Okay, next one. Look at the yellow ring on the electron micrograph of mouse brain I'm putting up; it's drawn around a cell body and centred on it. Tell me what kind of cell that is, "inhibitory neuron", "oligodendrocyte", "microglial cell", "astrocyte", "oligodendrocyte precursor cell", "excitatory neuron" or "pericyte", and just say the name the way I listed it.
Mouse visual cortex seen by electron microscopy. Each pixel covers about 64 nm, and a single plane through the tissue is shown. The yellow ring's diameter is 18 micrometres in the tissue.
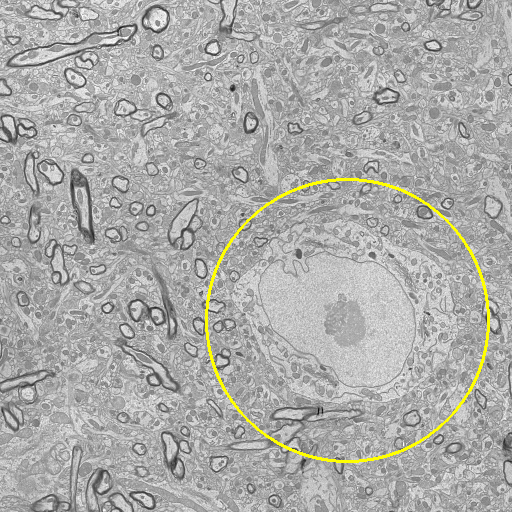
inhibitory neuron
